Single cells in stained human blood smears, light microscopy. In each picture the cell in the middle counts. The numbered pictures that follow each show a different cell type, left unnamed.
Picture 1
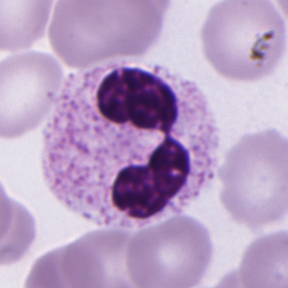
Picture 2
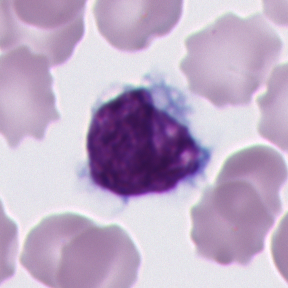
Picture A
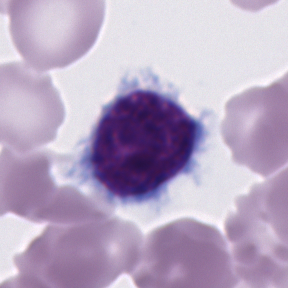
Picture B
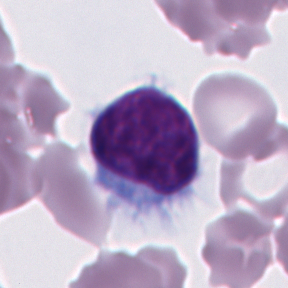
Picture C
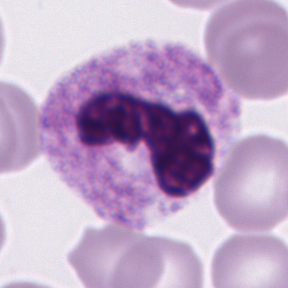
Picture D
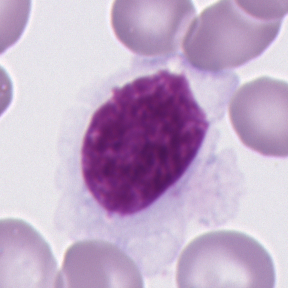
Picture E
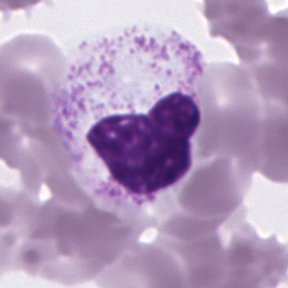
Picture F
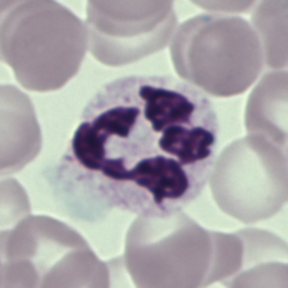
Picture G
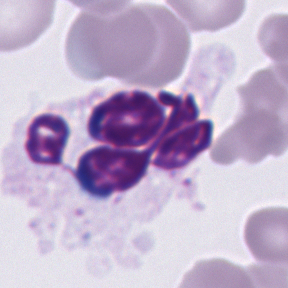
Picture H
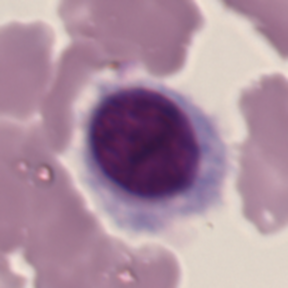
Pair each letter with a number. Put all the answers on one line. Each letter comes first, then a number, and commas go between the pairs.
A 2, B 2, C 1, D 2, E 1, F 1, G 1, H 2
